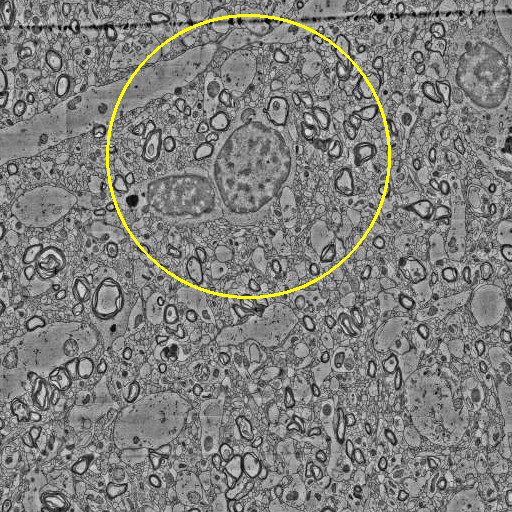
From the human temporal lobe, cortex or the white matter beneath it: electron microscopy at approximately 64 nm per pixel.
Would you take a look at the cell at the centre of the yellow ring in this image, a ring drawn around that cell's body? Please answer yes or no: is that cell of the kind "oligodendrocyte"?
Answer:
yes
